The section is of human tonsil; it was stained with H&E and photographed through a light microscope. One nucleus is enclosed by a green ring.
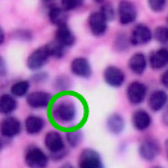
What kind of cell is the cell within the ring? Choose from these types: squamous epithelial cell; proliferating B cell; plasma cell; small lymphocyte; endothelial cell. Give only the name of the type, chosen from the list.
small lymphocyte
